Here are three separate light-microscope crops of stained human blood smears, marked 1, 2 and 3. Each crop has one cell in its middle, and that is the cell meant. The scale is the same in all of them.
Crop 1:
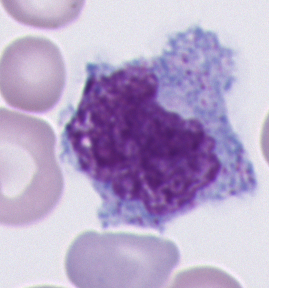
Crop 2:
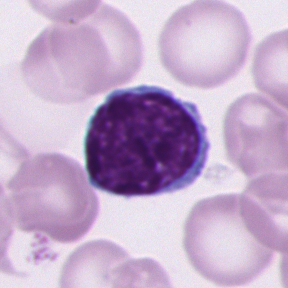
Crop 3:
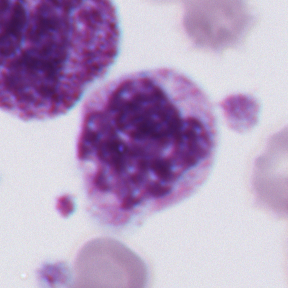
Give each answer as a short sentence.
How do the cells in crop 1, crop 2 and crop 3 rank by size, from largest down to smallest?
Largest first: 1, 3, 2.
